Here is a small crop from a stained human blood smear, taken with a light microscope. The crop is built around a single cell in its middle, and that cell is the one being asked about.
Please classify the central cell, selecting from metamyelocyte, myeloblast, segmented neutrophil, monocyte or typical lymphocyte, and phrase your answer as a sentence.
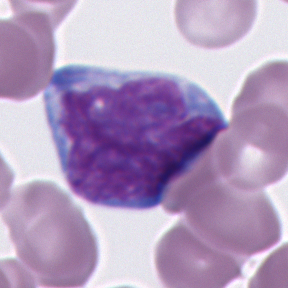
This particular crop is centered on a myeloblast.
